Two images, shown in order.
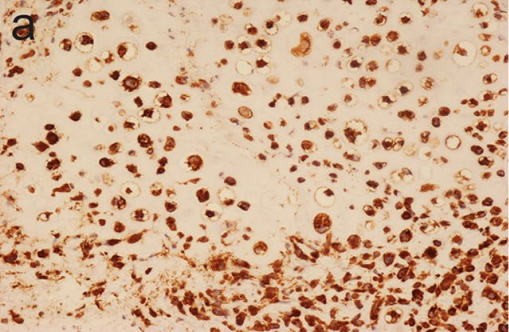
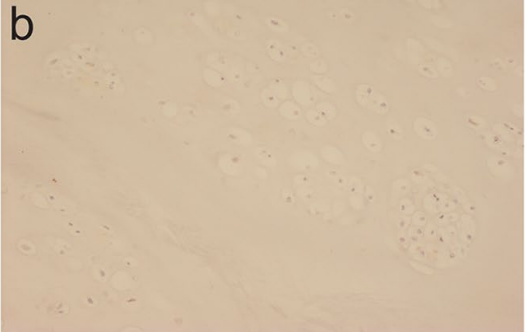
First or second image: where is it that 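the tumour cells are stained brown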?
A: the first image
